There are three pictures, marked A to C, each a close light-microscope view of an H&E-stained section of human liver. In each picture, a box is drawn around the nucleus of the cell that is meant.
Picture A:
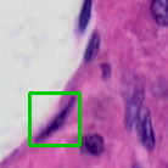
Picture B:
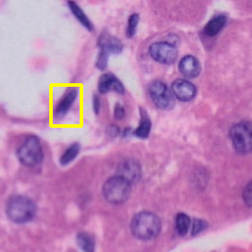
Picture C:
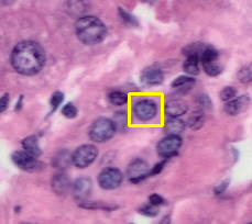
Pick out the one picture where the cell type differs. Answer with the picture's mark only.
C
